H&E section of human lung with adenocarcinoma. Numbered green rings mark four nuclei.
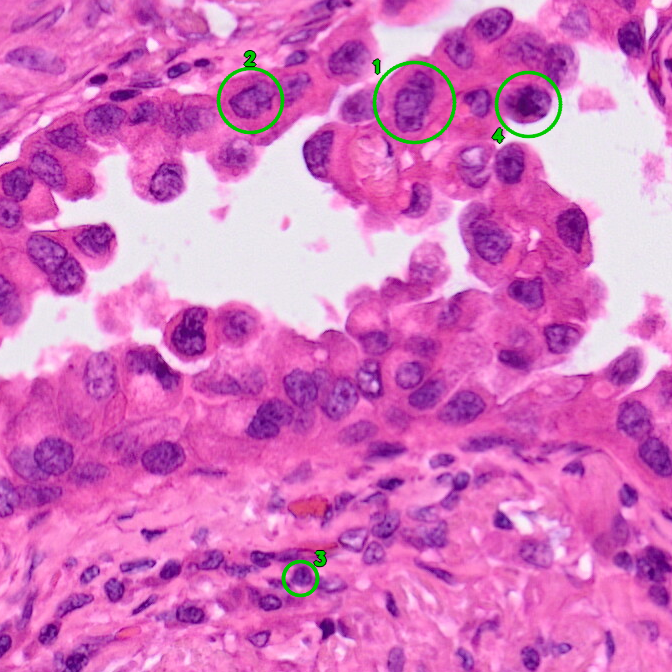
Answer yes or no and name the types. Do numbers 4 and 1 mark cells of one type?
Yes, of the numbered cells, 4 and 1 are both carcinoma cells.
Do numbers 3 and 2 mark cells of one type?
No, cell 3 is a lymphocyte, whereas a carcinoma cell is what cell 2 is.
